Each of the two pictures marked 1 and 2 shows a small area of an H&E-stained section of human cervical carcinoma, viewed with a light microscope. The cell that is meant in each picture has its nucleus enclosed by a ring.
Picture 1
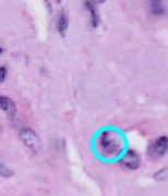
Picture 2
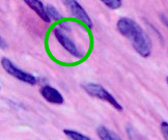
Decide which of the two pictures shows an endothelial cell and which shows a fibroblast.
1: endothelial cell
2: fibroblast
